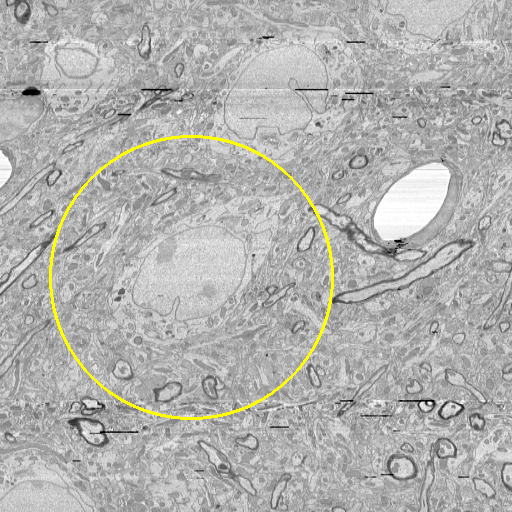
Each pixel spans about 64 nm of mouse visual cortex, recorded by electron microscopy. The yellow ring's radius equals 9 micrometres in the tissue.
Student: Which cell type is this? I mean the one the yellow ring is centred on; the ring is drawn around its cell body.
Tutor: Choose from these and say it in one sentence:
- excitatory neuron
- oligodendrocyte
The cell the ring is centred on is an excitatory neuron.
